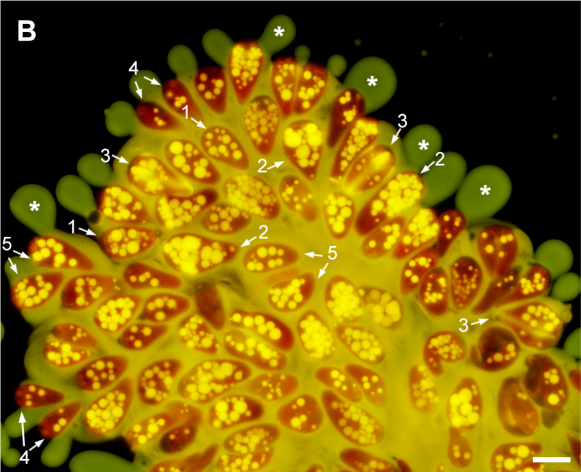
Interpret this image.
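Some cells carry many large bodies, others few or small ones, and some show bright yellow lines along their dividing walls and basal surfaces. The surrounding matrix fluoresces dull yellow-green, and smooth greenish lobes without cells project from the colony edge into the dark background.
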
